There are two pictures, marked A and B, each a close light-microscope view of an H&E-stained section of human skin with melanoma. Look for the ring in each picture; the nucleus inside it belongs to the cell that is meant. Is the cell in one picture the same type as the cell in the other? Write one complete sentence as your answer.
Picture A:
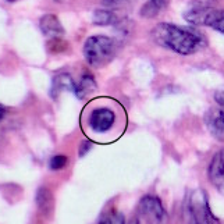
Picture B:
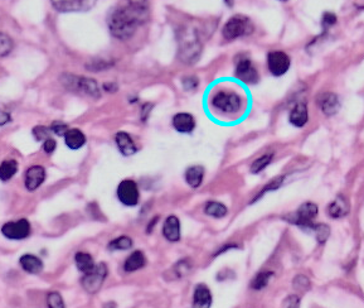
No. Picture A shows a lymphocyte, but picture B shows a plasma cell.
